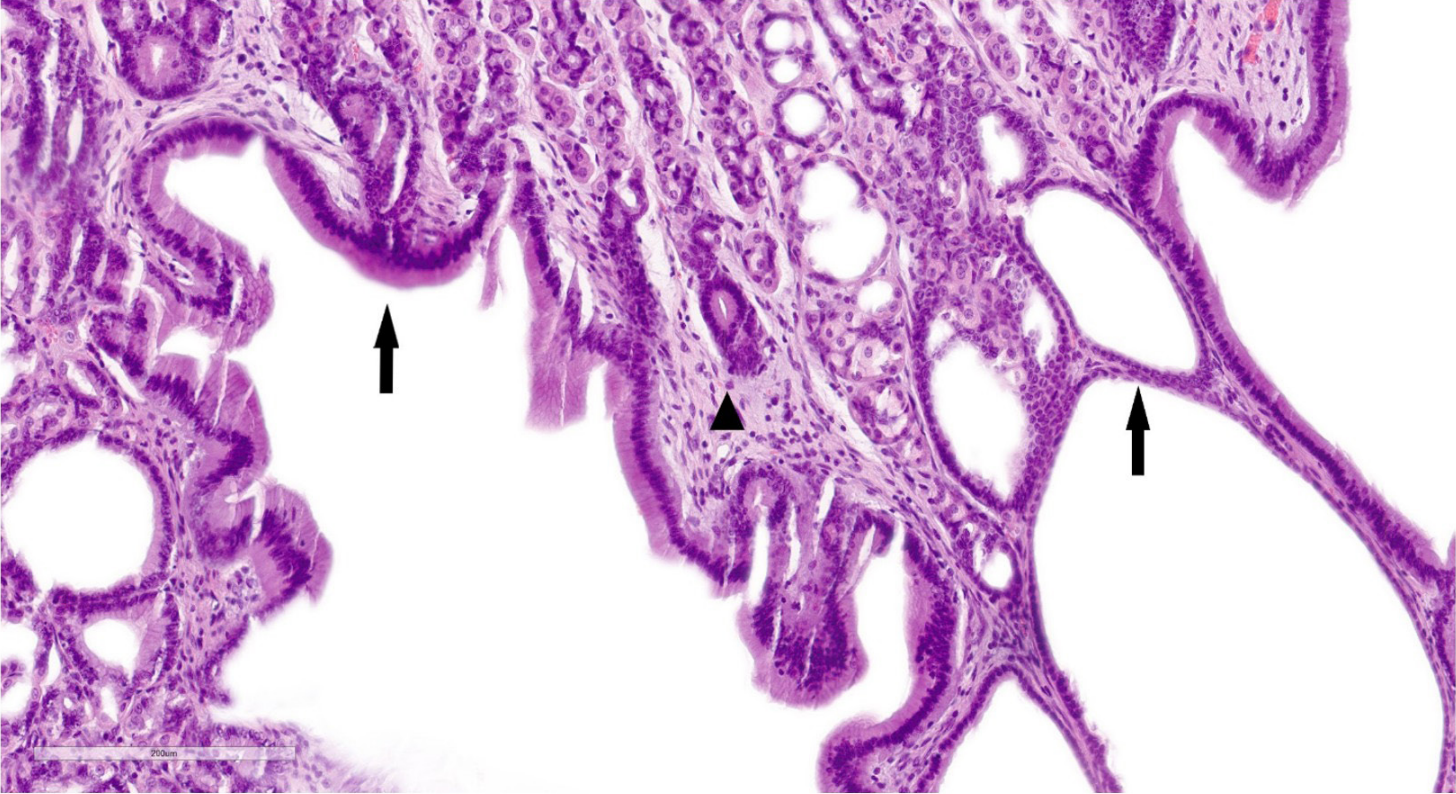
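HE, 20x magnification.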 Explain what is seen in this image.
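This is glandular mucosa in which many glands have widened into large, clear, cyst-like spaces. The spaces are lined by a single layer of epithelium that is tall with dark basal nuclei in some places and, on the right, thin and flattened, where it stretches as narrow pink septa between neighbouring cysts. Between the glands lies pink connective tissue of the mucosa, holding smaller glands made of rounded cells with pale to pink cytoplasm. Scattered through this connective tissue are small round cells with dark, round nuclei, a mild inflammatory infiltrate. The cystic spaces themselves look empty and white.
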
